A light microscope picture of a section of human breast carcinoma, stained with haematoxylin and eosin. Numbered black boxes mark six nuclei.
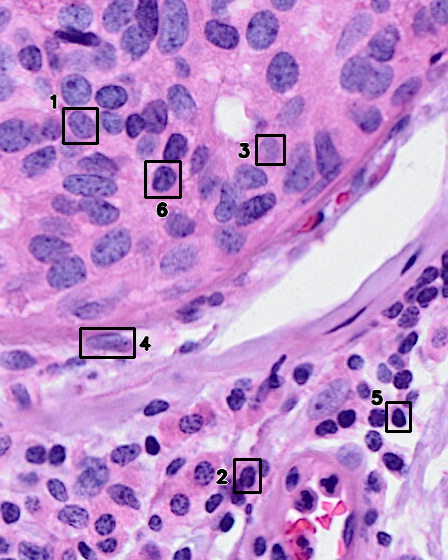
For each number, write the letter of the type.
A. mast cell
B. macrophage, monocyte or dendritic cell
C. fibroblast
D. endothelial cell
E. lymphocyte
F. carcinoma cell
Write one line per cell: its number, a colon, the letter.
1: F
2: E
3: F
4: D
5: E
6: F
